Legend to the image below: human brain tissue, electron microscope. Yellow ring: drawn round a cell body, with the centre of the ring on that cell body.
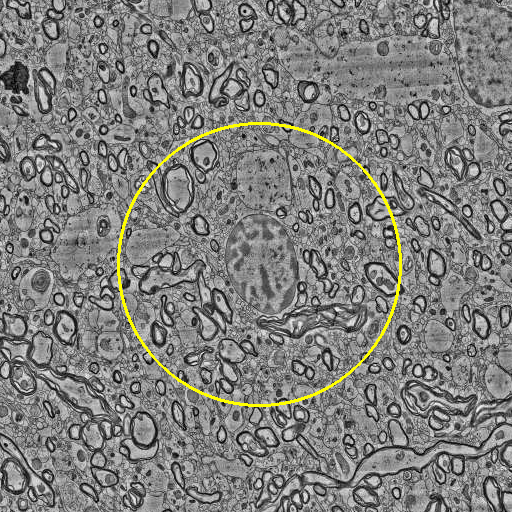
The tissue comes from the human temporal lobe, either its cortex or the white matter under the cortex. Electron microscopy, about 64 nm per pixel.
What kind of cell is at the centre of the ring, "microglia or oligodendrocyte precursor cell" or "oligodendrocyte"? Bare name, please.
microglia or oligodendrocyte precursor cell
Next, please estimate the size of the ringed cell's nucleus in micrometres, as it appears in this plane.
In this plane, approximately 6 by 5 micrometers.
